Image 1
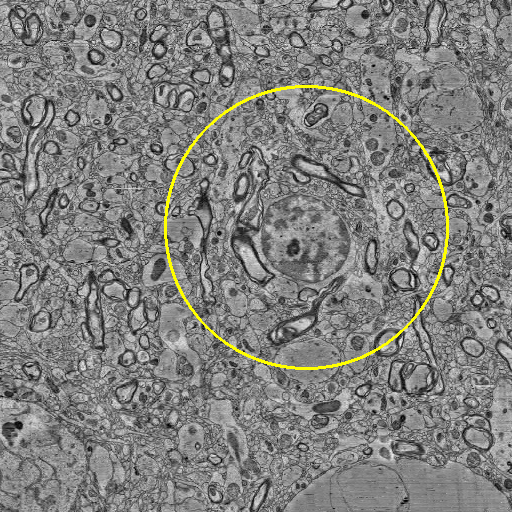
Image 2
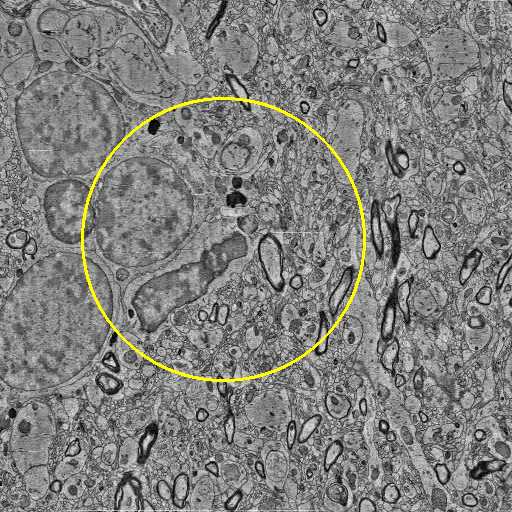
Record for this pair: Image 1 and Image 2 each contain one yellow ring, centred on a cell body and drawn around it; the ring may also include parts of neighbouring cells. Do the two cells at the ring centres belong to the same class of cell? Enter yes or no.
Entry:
no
